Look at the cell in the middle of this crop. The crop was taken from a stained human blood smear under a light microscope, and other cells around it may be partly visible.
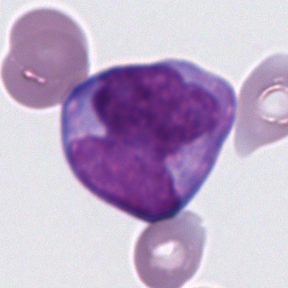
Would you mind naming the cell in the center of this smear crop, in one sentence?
The identification for the central cell is an atypical promyelocyte.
